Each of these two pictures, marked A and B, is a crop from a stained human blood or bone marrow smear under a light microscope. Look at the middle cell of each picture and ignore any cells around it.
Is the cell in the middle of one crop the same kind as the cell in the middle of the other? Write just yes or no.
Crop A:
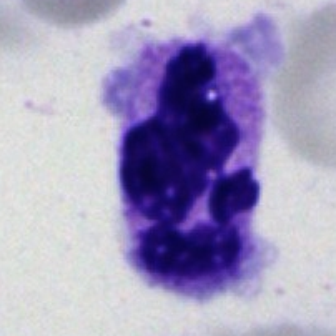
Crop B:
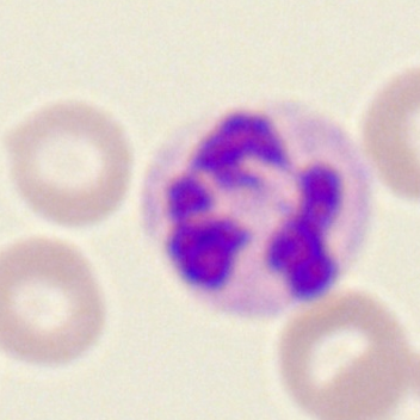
yes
